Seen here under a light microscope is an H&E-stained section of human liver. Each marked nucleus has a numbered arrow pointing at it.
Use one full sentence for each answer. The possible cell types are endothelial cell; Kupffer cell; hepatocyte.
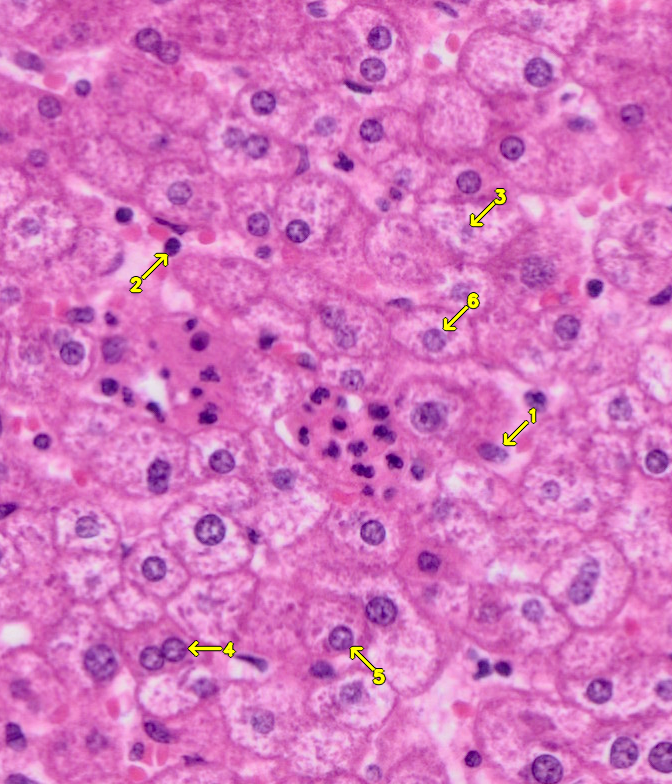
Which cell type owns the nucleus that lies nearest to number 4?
The nucleus nearest to number 4 is that of a hepatocyte.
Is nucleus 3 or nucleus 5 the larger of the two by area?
Nucleus 5 is larger, with an area about 2 times that of nucleus 3.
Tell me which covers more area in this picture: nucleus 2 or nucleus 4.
Of the two, number 4 is bigger and takes up about 2 times the area of number 2.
